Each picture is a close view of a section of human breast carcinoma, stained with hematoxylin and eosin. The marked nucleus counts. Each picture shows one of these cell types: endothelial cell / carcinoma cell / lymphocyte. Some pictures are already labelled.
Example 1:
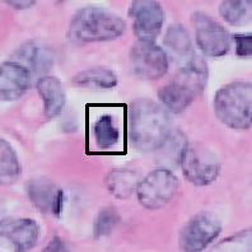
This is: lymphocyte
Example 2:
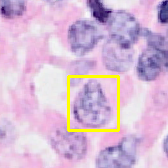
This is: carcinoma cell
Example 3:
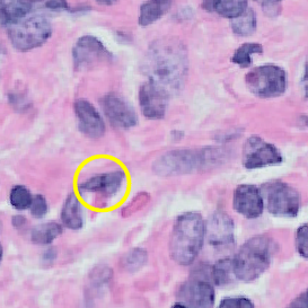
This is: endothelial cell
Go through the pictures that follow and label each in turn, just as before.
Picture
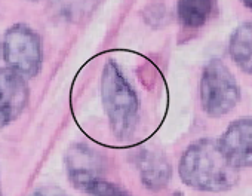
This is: endothelial cell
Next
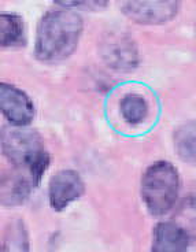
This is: lymphocyte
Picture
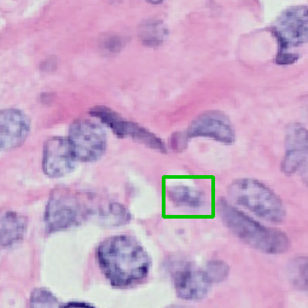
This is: endothelial cell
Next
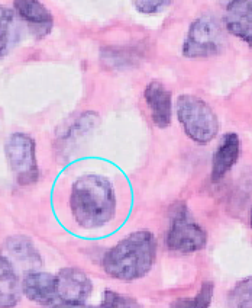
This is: carcinoma cell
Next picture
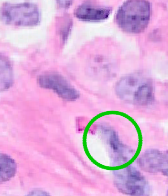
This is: endothelial cell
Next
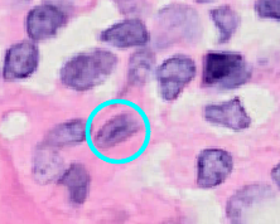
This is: endothelial cell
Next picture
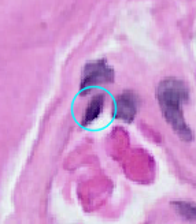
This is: endothelial cell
